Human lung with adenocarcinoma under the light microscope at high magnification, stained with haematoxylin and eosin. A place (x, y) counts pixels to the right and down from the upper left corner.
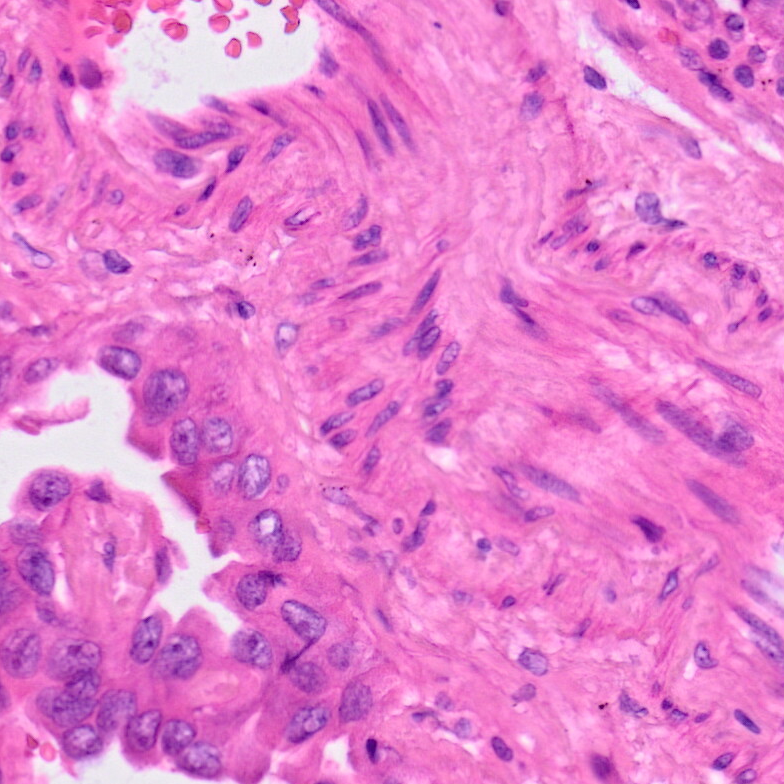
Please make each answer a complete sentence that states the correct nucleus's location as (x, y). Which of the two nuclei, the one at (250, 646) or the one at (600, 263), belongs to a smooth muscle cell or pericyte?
Answering which nucleus it is: the one at (600, 263), belonging to a smooth muscle cell or pericyte.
